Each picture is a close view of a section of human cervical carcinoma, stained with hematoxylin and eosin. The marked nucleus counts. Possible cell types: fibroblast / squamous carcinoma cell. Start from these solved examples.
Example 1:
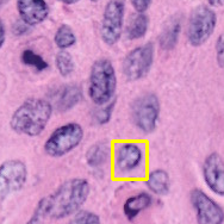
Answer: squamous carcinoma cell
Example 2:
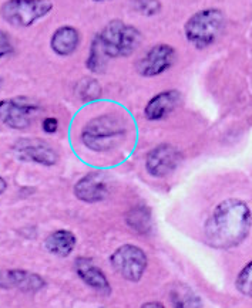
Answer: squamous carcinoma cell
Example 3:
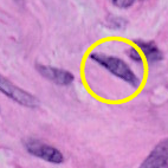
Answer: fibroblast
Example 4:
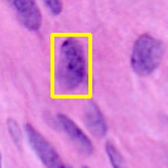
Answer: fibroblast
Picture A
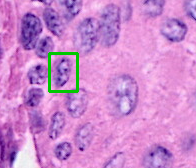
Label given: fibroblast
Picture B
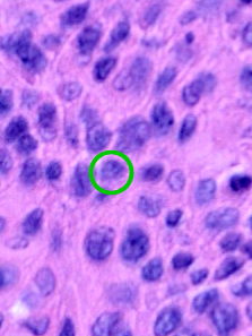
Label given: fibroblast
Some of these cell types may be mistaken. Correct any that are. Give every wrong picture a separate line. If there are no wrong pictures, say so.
A is labelled fibroblast; correct label: squamous carcinoma cell
B is labelled fibroblast; correct label: squamous carcinoma cell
